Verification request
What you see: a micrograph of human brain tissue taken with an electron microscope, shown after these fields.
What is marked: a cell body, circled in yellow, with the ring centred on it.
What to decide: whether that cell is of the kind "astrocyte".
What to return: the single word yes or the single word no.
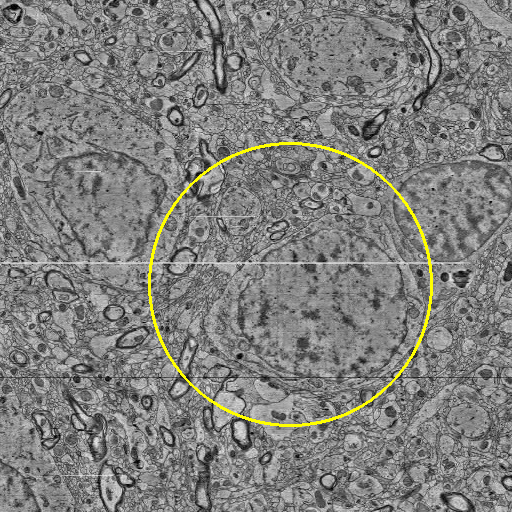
no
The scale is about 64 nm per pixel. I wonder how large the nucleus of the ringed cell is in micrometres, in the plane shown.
In this plane the ringed cell's nucleus is roughly 11 micrometres across.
